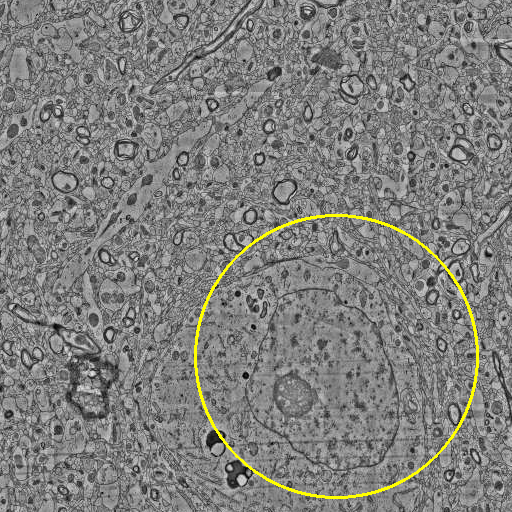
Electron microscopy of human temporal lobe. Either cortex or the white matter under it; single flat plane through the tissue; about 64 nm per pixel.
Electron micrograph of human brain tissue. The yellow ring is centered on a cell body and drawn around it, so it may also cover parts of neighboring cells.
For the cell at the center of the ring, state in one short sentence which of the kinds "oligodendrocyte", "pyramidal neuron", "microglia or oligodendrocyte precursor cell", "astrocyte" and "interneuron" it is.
This ring is centered on a pyramidal neuron.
